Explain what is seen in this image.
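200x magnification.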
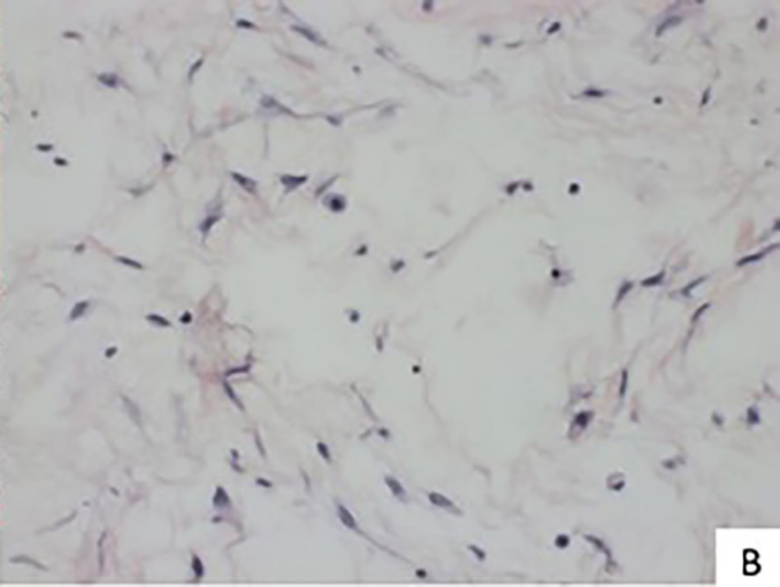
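Myxoid tissue with sparse fusiform and stellate cells scattered widely in a pale, loose stroma crossed by thin wispy fibrils. The cells have small oval purple nuclei and faint pale pink cytoplasm drawn out into slender processes, without any orderly arrangement.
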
